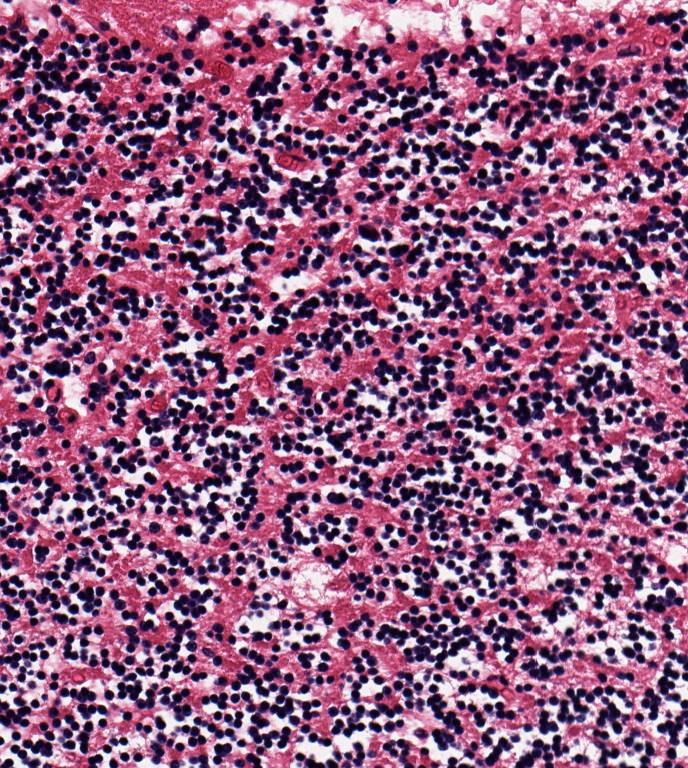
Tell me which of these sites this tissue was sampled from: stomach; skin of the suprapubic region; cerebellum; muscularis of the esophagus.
cerebellum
